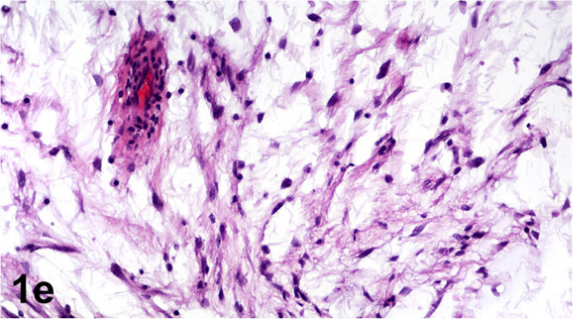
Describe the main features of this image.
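Spindle-shaped and stellate cells lie loosely in a pale, wispy pink-purple matrix, with a small vessel full of red cells at upper left. Their nuclei are enlarged, dark and vary in size and shape. These are spindled cells of a myxoid lesion showing cytonuclear atypia.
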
